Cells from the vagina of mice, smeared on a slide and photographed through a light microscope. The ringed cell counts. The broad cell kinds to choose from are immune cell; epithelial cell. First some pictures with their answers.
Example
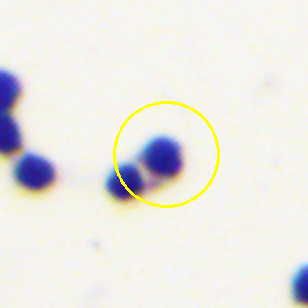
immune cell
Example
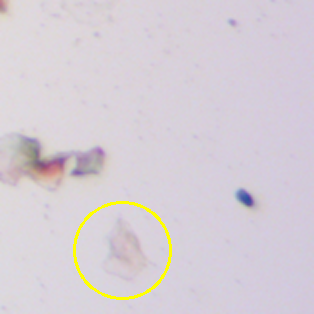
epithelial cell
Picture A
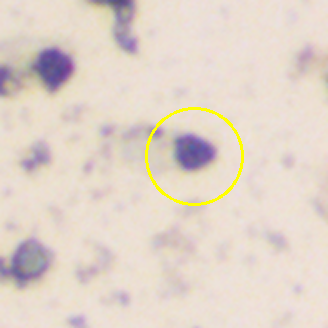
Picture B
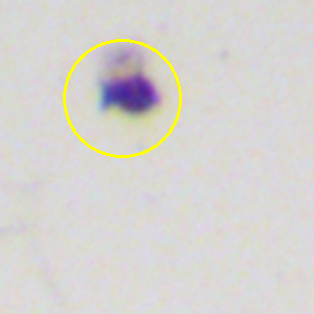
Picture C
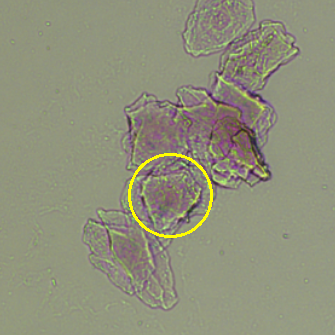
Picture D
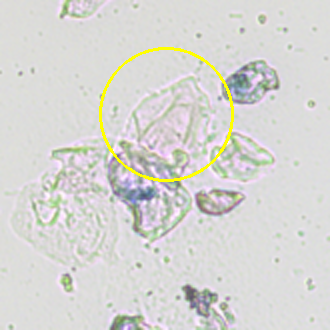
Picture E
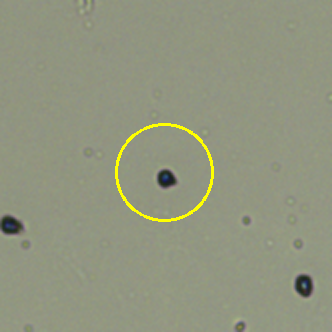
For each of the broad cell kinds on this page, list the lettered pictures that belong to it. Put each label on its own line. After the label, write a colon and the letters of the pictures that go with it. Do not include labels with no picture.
immune cell: A, B, E
epithelial cell: C, D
